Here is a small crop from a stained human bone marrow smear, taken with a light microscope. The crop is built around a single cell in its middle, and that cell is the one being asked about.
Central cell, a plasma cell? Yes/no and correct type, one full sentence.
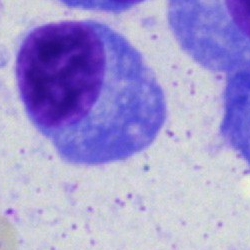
Yes, the cell that lies centrally is a plasma cell.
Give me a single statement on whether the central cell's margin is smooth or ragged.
Smooth all around, the outline has no projections to report.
